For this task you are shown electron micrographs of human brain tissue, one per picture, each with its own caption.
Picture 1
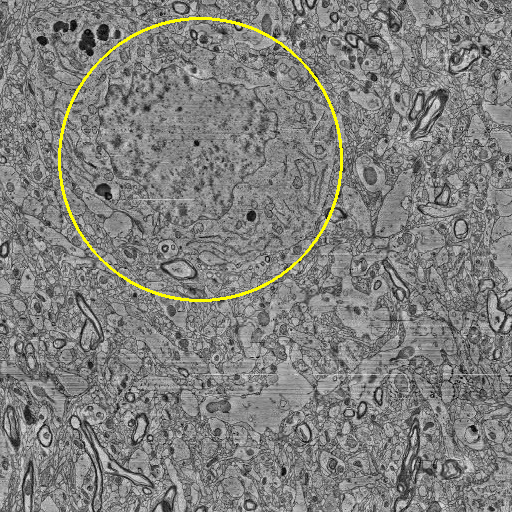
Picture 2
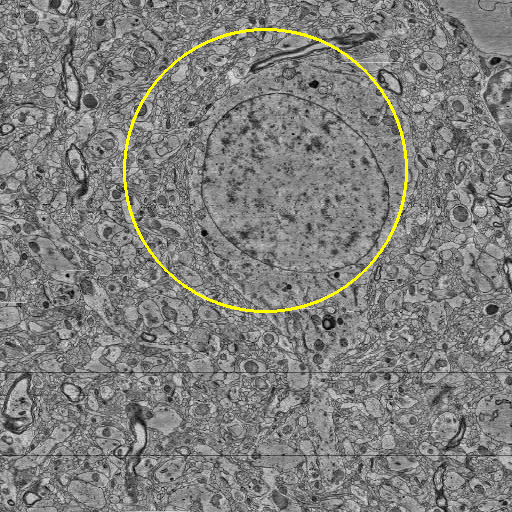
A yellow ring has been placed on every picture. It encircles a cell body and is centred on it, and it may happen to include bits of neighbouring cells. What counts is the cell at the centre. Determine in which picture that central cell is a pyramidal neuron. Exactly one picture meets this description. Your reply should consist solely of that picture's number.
2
